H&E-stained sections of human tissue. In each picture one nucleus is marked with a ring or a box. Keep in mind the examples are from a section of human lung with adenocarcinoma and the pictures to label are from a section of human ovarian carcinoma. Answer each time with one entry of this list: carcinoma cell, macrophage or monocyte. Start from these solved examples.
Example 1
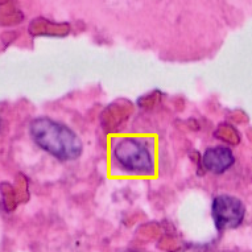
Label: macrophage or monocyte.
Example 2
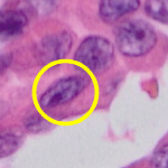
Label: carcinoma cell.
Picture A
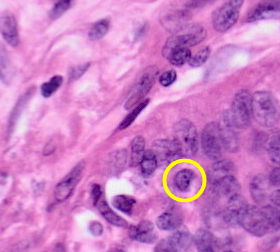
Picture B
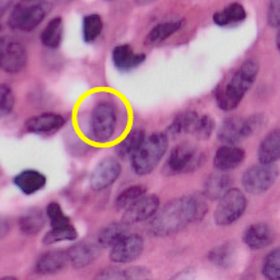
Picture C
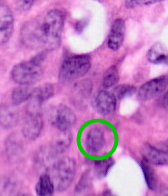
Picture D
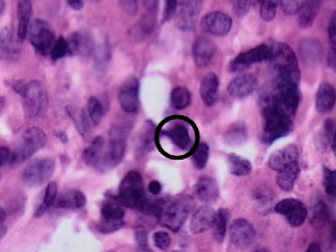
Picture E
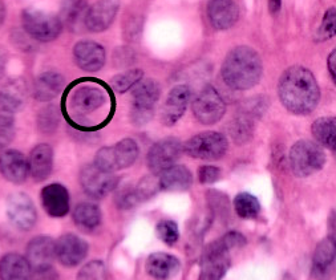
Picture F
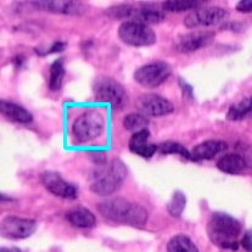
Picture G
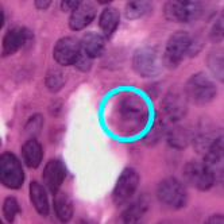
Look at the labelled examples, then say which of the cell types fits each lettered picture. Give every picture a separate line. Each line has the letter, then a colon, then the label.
A: macrophage or monocyte.
B: carcinoma cell.
C: carcinoma cell.
D: carcinoma cell.
E: carcinoma cell.
F: macrophage or monocyte.
G: carcinoma cell.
